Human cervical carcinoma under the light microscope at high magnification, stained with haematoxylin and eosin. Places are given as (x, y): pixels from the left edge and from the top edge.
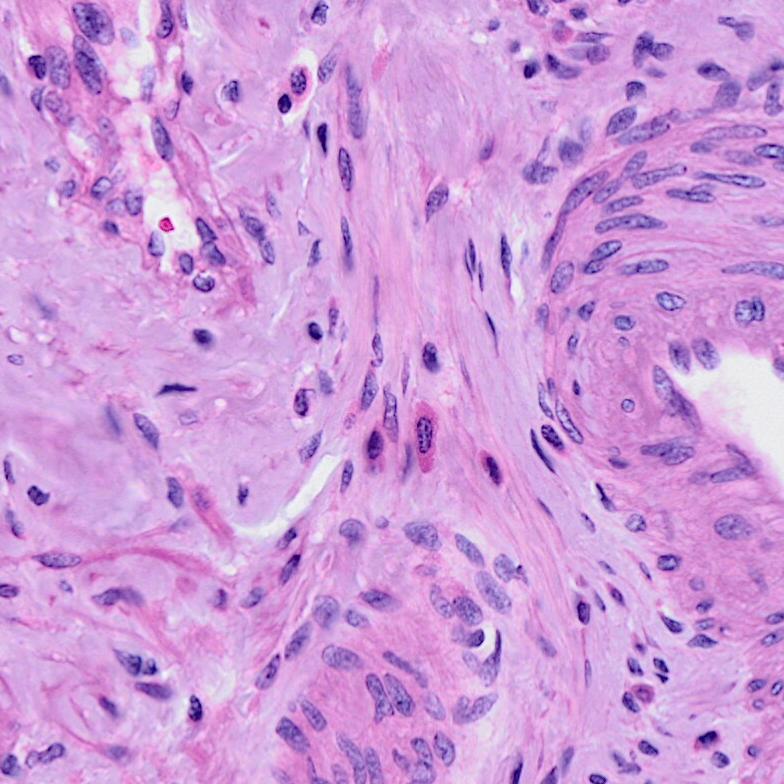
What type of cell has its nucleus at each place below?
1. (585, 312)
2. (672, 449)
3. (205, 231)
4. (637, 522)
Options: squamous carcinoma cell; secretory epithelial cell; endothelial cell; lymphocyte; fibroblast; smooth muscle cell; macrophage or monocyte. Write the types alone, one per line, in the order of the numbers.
smooth muscle cell
smooth muscle cell
endothelial cell
smooth muscle cell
